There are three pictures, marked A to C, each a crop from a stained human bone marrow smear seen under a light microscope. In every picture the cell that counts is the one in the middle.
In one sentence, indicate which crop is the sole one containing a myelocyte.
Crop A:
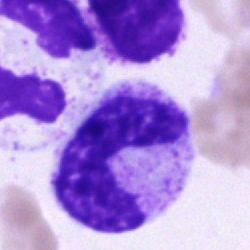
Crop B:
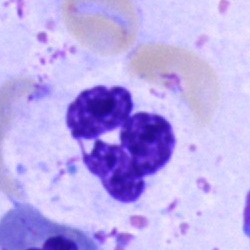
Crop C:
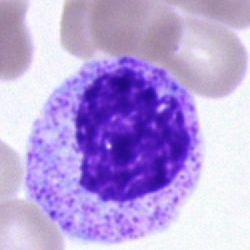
Crop C is the right one; it is the crop showing a myelocyte.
